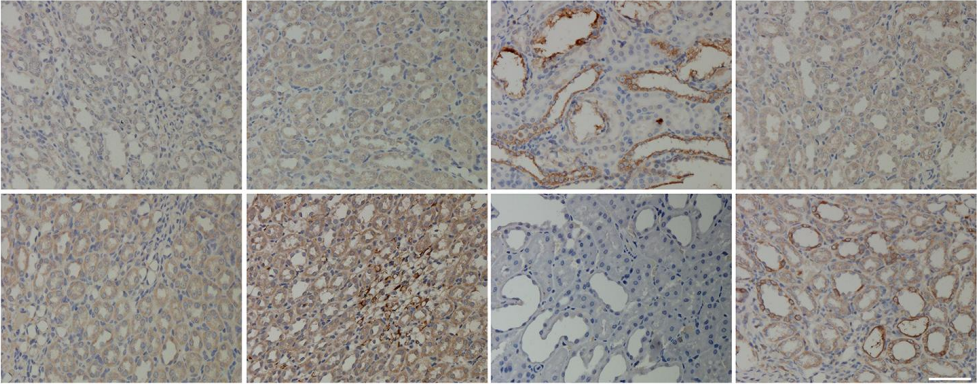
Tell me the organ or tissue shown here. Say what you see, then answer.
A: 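Many round to oval tubules in cross-section, each lined by a single layer of epithelial cells around a lumen. Blue nuclei sit in the epithelial cells lining the tubules. Some tubules have wide, open lumens. So: kidney tissues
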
